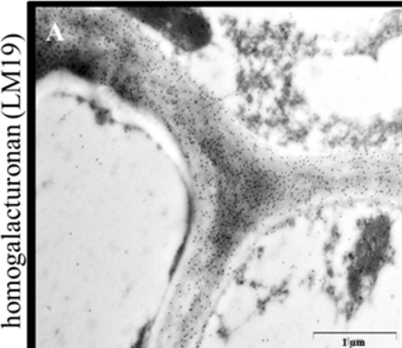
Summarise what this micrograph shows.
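Walls of adjoining cells meet at a three-way cell corner, seen as grey bands between pale cell lumens. Black gold particles are densely concentrated over the cell corner and the middle region of the walls, with fewer over the outer wall layers, and dark granular material lies in the neighbouring lumens.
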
